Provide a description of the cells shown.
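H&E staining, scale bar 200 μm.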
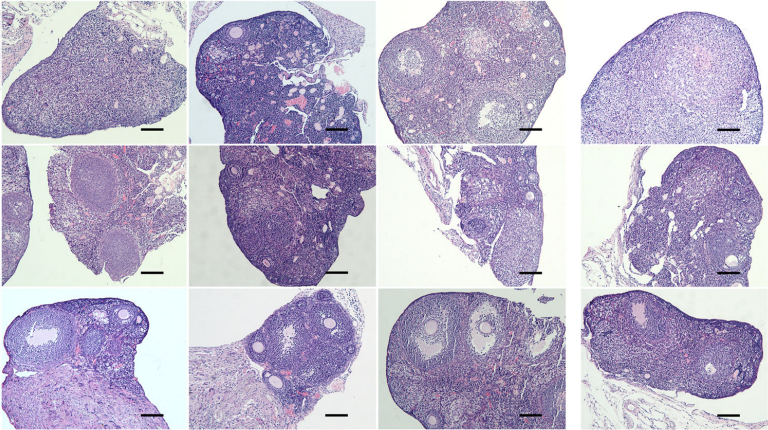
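Ovarian tissue in a grid of low-power sections stained purple and pink, with dense cellular stroma forming rounded lobes. Many sections contain round follicles, some with a central oocyte ringed by layers of granulosa cells, others with a pale fluid-filled antrum. A few sections are mostly stroma with few or no clear follicles, and loose connective tissue lies beside several of them.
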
